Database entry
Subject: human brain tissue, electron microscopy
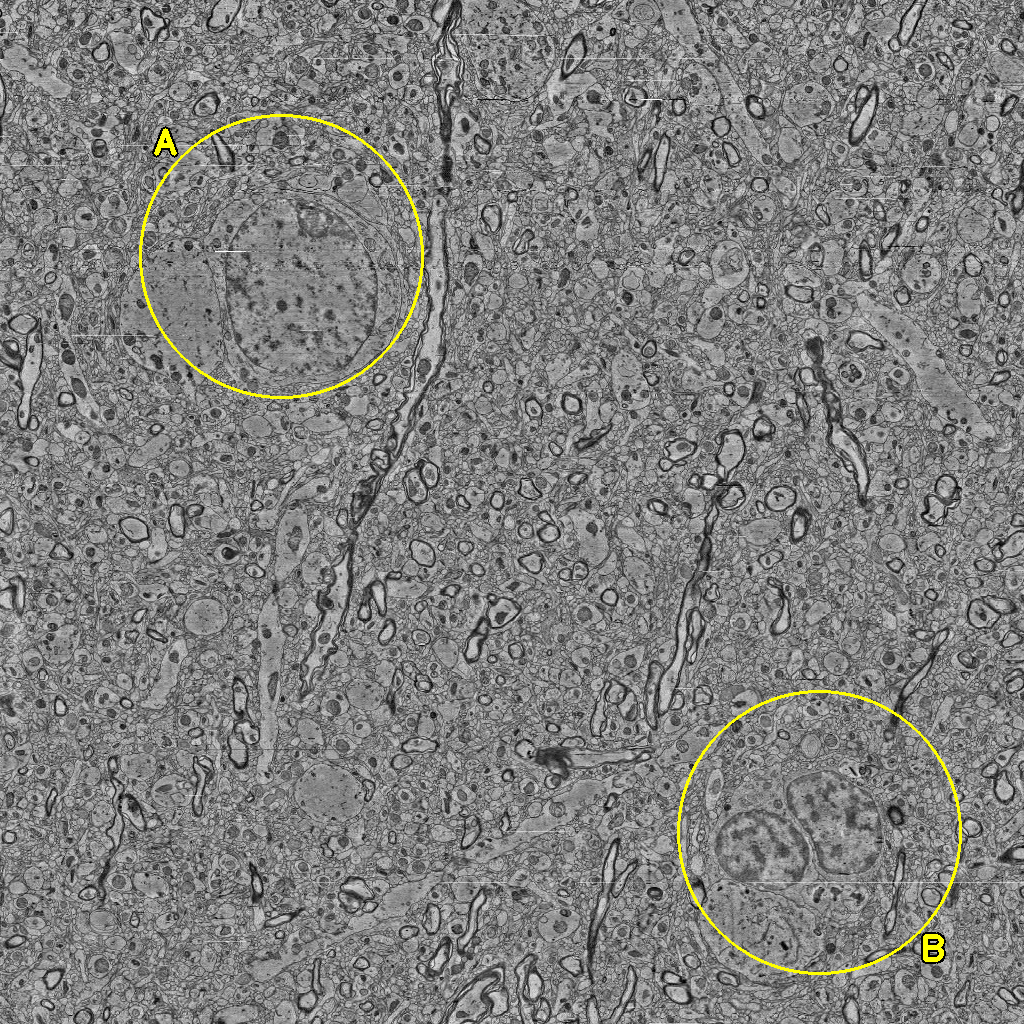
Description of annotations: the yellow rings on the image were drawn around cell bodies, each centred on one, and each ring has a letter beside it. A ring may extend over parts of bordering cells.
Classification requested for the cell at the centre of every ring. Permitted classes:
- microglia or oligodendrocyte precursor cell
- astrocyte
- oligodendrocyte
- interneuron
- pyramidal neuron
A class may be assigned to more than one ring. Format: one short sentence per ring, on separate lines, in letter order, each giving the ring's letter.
The cell body at the centre of ring A is an interneuron.
The cell body at the centre of ring B is an oligodendrocyte.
